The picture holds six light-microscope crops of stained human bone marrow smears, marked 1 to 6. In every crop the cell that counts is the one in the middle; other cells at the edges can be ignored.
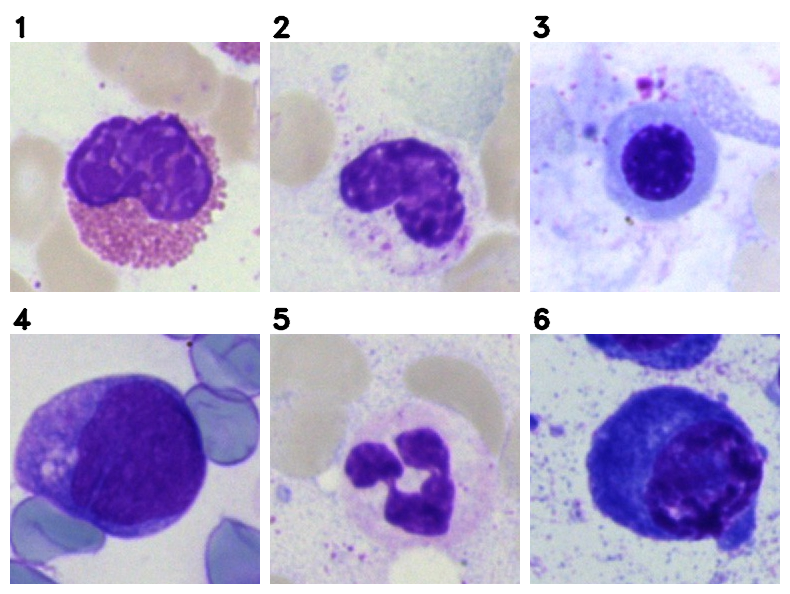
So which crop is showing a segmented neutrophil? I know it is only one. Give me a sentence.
The correct choice is crop 5, the one showing a segmented neutrophil.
